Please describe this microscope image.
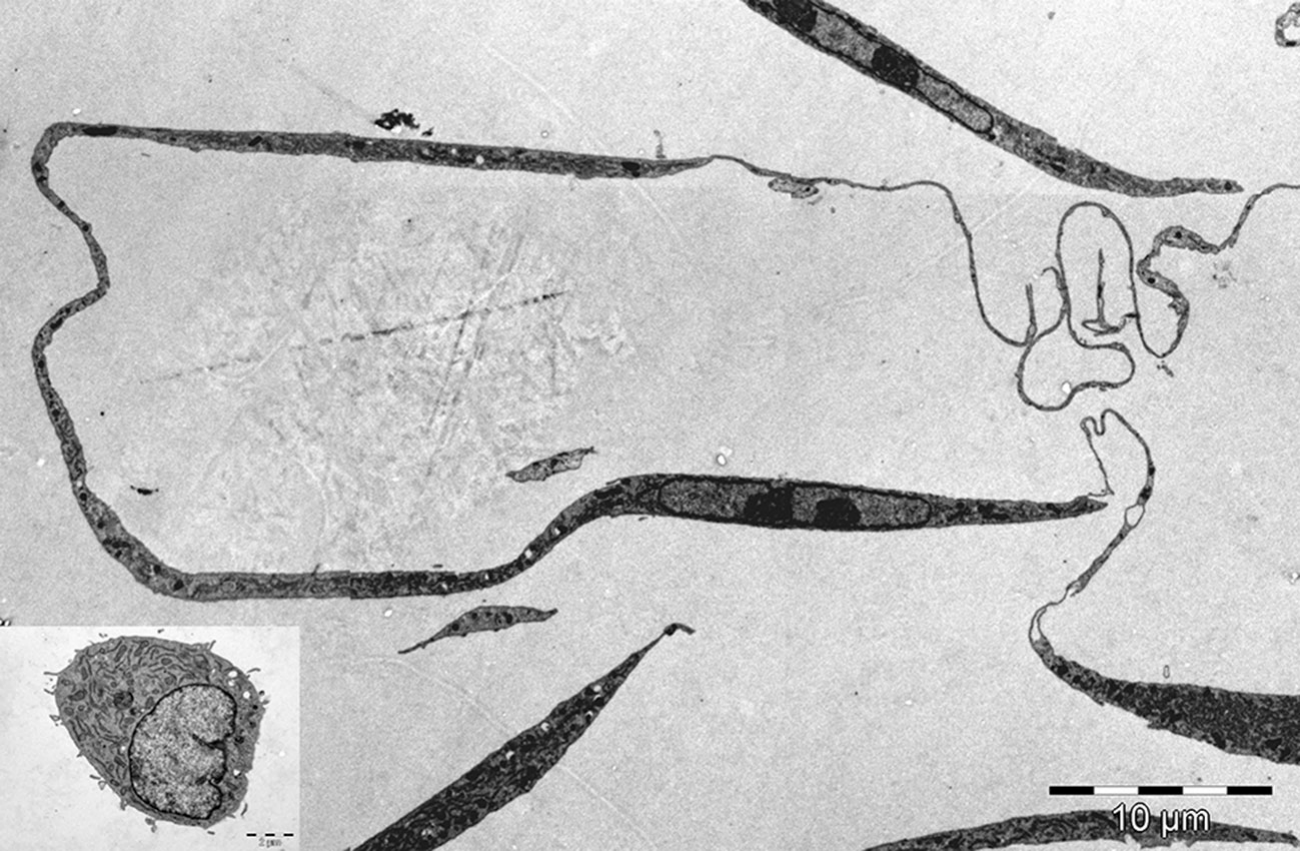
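This transmission electron micrograph shows a telocyte, a small cell whose elongated nucleus lies in a spindle-shaped cell body, and from which an exceedingly long, thin telopode extends across the field. The telopode runs as a dark band that encloses a large space, then thins to a fine line that loops and coils repeatedly before continuing. Along its course, very thin segments alternate with small dilated portions. In the boxed inset at the lower left, another cell appears at the same magnification as a compact oval cell with abundant cytoplasm full of cisternae and a large, indented nucleus, without long processes.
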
